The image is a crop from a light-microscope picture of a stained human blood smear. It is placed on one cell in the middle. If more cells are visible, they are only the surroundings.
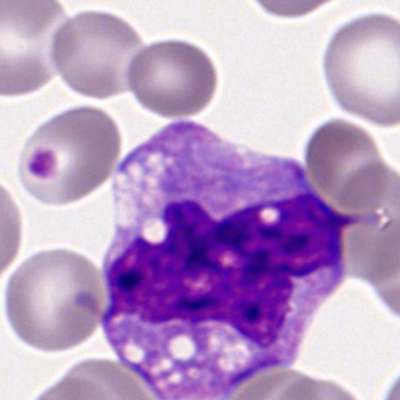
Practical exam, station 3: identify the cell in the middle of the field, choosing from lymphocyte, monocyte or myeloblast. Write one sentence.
The middle of this crop is occupied by a monocyte.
